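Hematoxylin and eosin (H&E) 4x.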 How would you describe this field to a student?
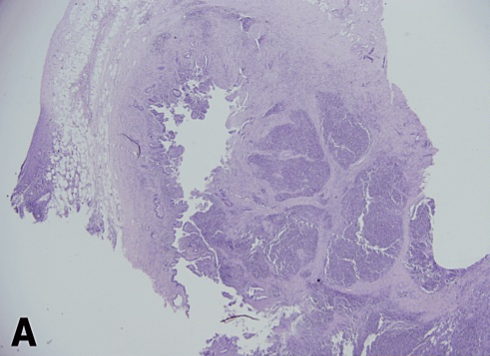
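At low power, a covering layer of tissue runs along the upper and left edge. Beneath it lie large, rounded, darkly stained nests of densely cellular tissue. Paler fibrous bands separate the nests from one another. A clear cleft-like space lies between the covering layer and the nests.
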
